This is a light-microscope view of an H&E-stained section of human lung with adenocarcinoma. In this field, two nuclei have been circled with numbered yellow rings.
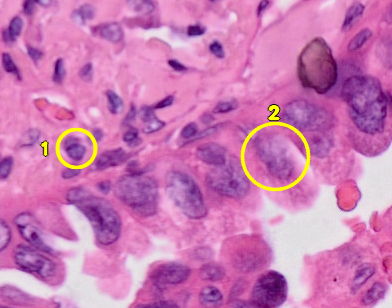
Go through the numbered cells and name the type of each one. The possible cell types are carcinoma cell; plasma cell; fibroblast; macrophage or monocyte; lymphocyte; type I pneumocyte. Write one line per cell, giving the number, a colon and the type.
1: lymphocyte
2: carcinoma cell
